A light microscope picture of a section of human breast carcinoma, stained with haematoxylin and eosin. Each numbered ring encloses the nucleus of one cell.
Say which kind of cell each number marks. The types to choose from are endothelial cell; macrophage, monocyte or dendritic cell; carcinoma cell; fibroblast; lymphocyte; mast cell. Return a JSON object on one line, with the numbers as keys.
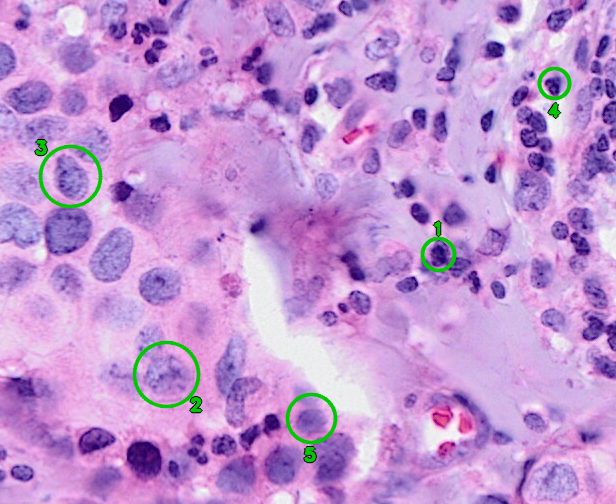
{"1": "lymphocyte", "2": "carcinoma cell", "3": "carcinoma cell", "4": "lymphocyte", "5": "carcinoma cell"}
